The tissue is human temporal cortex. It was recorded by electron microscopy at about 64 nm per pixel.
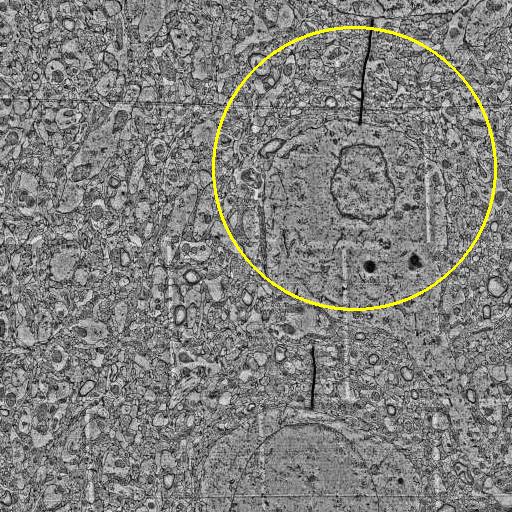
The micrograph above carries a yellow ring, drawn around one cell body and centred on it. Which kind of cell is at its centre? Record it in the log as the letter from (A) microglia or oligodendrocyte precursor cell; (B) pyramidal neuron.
B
